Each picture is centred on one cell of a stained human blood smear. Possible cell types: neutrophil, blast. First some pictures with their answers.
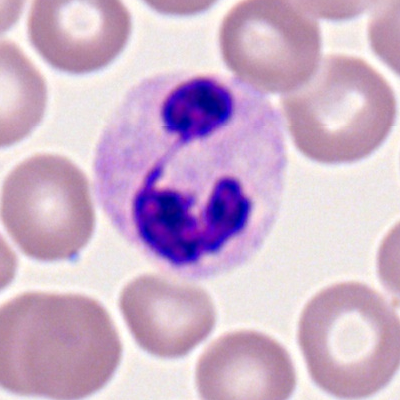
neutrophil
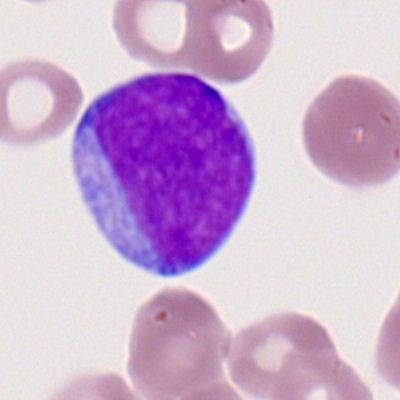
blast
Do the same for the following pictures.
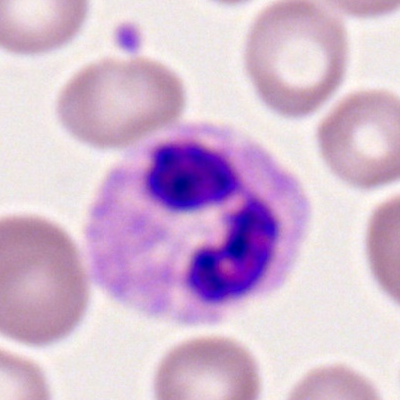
neutrophil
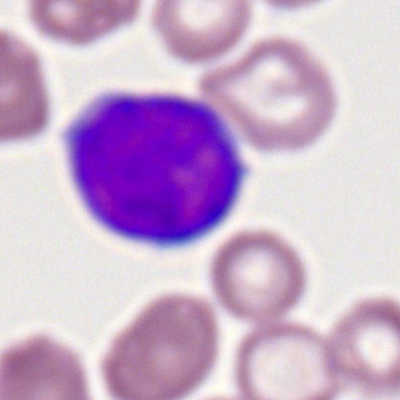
blast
